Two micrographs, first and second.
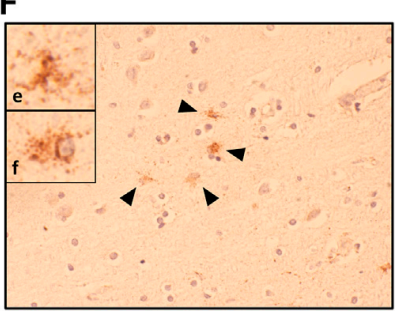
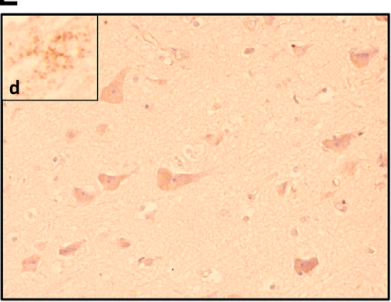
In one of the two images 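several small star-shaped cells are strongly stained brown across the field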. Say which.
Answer: the first image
